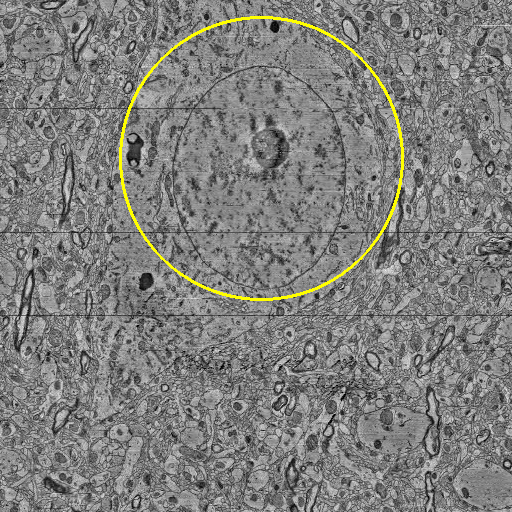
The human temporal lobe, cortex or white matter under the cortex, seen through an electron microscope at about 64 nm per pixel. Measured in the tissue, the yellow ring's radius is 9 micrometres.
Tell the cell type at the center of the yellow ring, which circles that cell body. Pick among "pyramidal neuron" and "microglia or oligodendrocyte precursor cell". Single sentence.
The ring is centered on the body of a pyramidal neuron.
